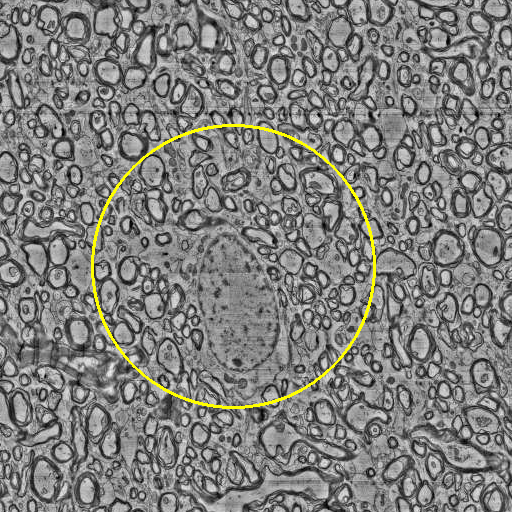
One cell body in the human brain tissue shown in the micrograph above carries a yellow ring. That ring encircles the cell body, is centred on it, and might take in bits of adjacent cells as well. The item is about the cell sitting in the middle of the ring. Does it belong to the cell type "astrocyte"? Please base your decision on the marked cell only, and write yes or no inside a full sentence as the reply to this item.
Yes, the cell at the middle of the ring in the micrograph is of this kind.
